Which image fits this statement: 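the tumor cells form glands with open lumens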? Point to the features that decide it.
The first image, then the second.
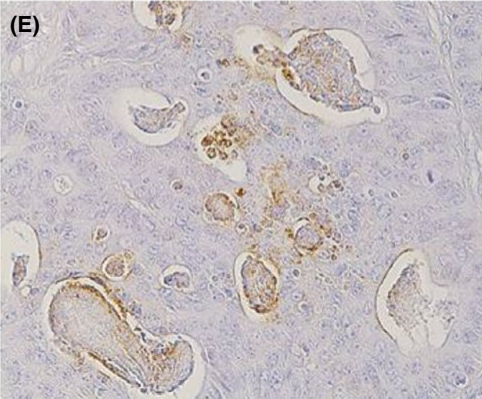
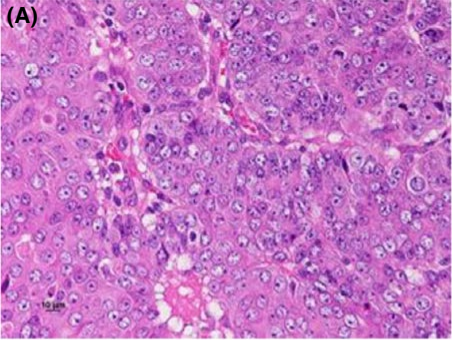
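The first image. First image: several open lumens surrounded by tumor cells, containing brown material. Second image: solid nests of tumor cells without obvious lumens.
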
